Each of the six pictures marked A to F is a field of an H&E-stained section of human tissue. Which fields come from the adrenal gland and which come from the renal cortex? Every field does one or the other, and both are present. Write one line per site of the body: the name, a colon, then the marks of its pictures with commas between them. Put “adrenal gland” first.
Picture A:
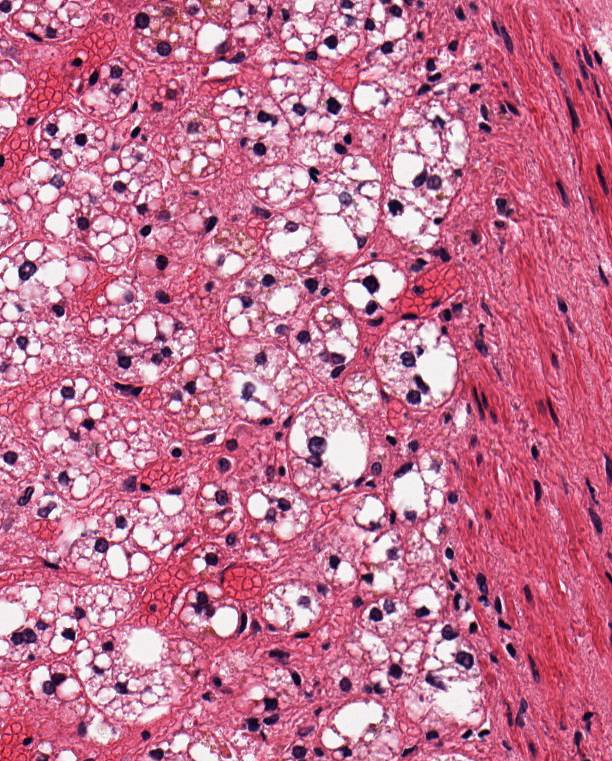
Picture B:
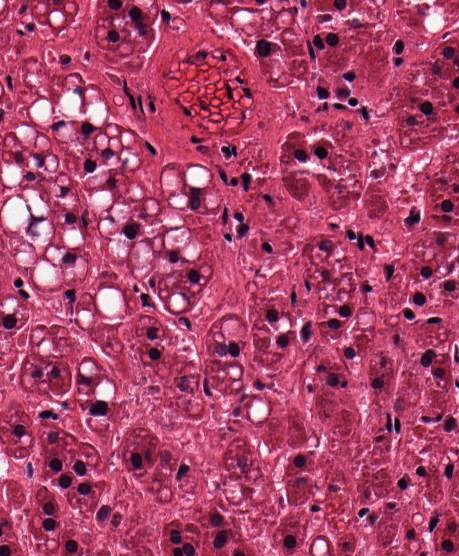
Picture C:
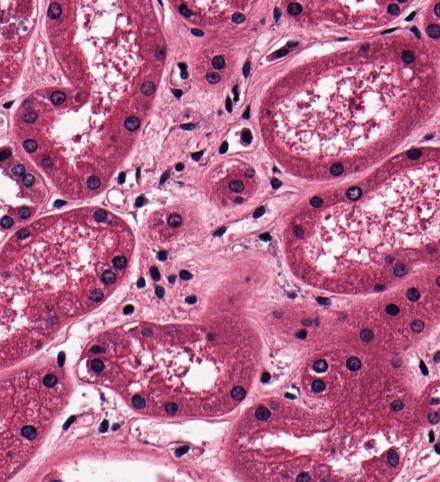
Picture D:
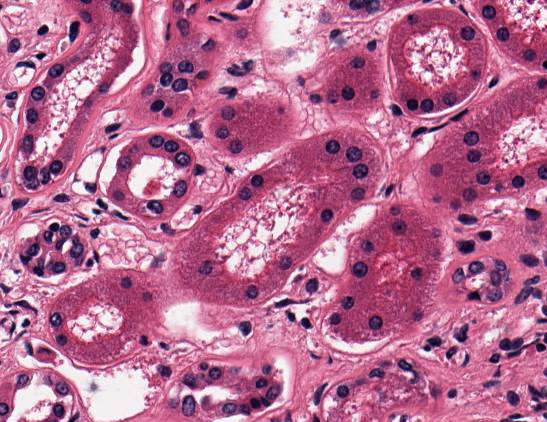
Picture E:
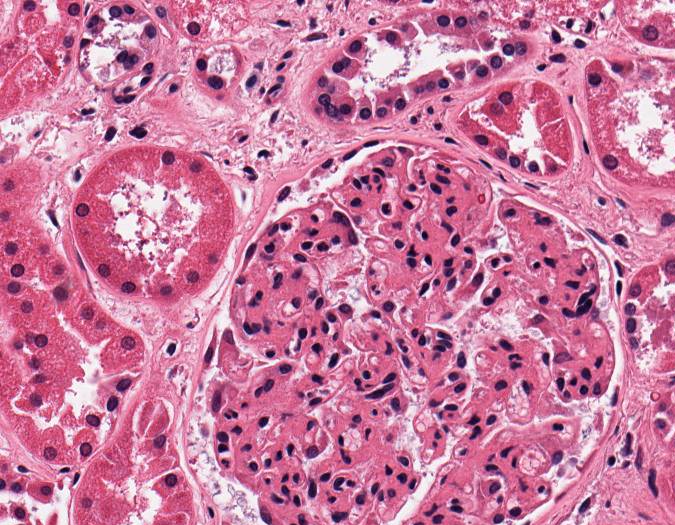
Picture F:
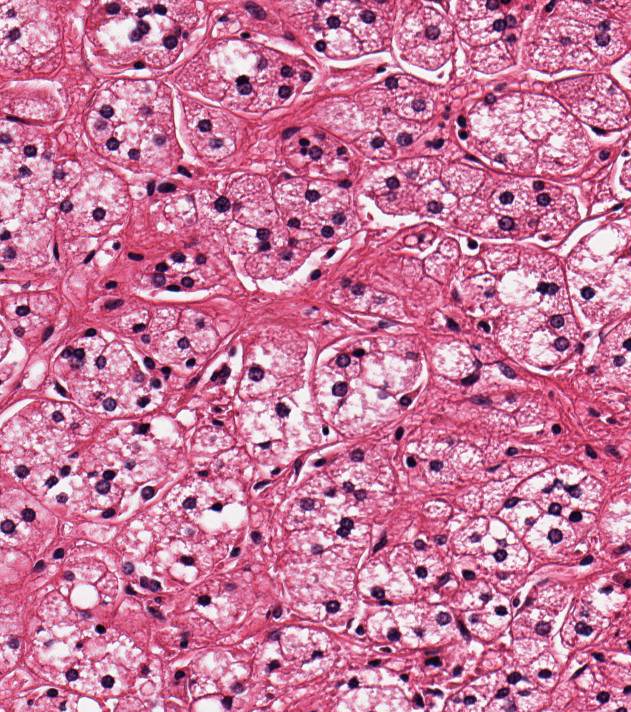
adrenal gland: A, B, F
renal cortex: C, D, E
